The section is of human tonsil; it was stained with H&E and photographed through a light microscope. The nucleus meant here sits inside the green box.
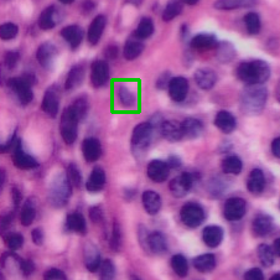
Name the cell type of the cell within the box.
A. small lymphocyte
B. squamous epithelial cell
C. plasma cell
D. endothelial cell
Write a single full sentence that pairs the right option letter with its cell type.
Since the cell within the box is an endothelial cell, option D is correct.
